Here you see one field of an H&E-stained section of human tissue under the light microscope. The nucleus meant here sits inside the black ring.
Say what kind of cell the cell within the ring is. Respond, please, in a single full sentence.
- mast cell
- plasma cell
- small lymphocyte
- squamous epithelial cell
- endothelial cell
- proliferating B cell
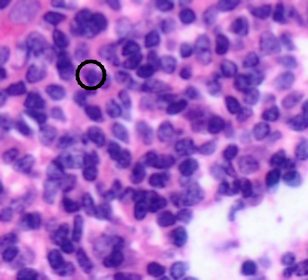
In terms of identity, the cell within the ring is a small lymphocyte.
